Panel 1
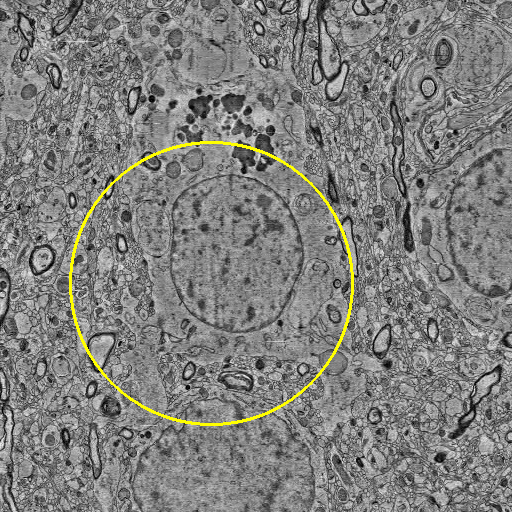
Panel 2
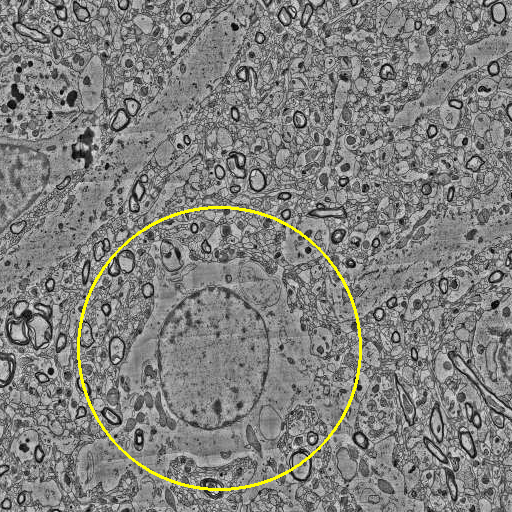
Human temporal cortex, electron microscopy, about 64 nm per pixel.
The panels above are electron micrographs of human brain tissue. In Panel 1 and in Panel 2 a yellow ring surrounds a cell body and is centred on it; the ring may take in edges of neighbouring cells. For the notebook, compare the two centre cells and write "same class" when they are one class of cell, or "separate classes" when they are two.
same class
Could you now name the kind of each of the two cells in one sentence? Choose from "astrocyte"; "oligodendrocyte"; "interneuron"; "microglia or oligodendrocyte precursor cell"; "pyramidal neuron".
Both pictures show an astrocyte at the centre of the ring.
